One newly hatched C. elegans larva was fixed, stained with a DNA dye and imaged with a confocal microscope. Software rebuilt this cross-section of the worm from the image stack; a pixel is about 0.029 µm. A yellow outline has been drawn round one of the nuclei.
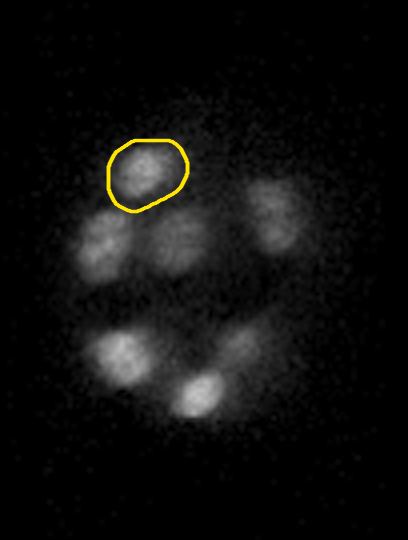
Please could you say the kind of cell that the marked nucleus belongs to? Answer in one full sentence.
This is the nucleus of a body wall muscle cell.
